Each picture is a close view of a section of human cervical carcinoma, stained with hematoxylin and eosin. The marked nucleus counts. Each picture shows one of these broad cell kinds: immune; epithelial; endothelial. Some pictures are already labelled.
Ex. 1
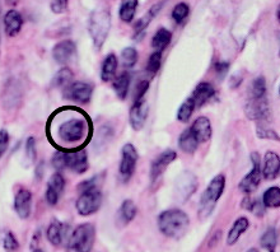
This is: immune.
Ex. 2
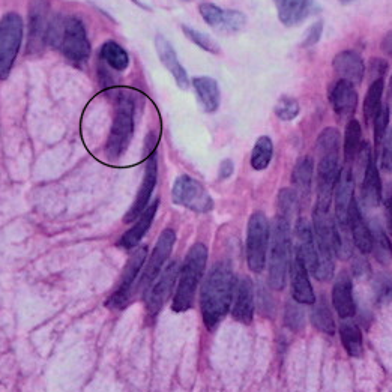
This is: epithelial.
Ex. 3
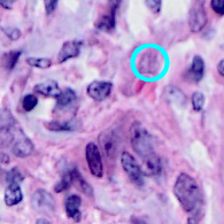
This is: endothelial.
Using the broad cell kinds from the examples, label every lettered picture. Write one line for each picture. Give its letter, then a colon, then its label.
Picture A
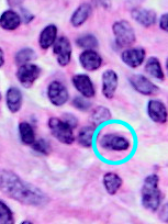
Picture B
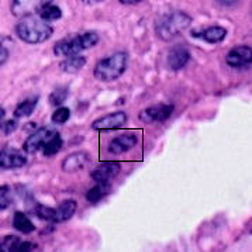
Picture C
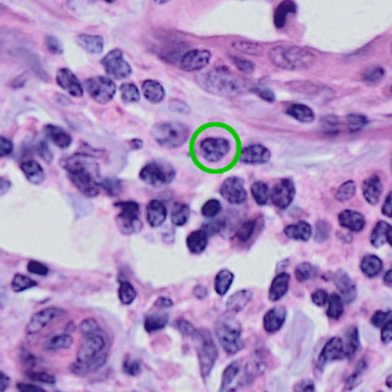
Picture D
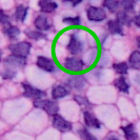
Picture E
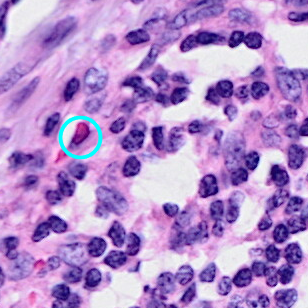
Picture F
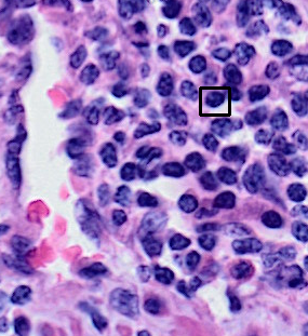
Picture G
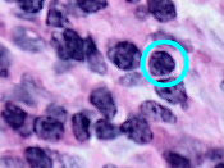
A: immune.
B: epithelial.
C: immune.
D: epithelial.
E: endothelial.
F: immune.
G: immune.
